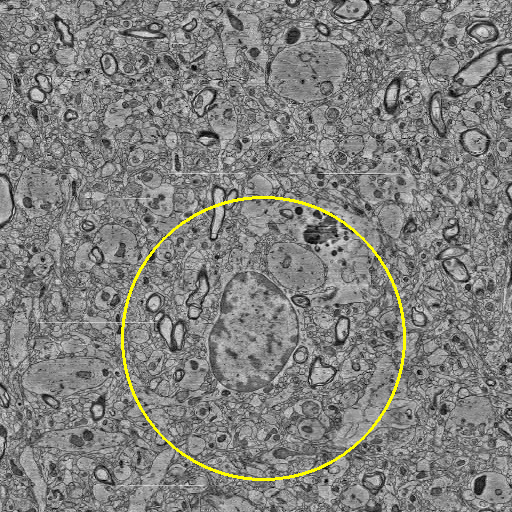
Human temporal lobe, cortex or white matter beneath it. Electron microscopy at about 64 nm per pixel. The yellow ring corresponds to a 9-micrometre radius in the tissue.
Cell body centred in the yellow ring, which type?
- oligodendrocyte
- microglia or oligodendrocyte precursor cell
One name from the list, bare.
microglia or oligodendrocyte precursor cell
